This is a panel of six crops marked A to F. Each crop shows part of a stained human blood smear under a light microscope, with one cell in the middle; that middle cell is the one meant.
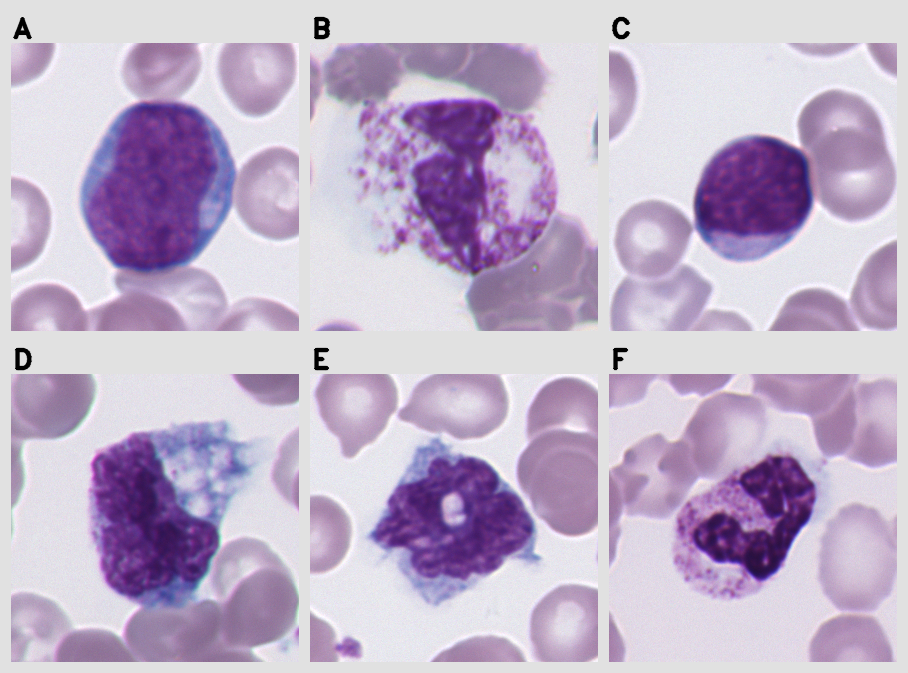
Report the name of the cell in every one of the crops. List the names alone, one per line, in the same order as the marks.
blast
neutrophil
blast
monocyte
monocyte
neutrophil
